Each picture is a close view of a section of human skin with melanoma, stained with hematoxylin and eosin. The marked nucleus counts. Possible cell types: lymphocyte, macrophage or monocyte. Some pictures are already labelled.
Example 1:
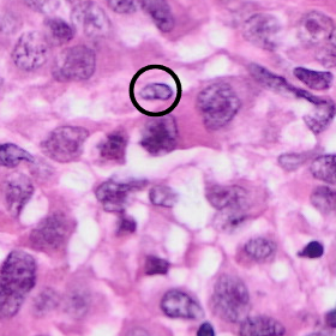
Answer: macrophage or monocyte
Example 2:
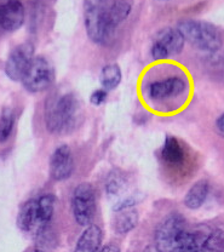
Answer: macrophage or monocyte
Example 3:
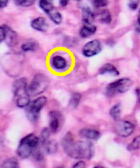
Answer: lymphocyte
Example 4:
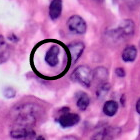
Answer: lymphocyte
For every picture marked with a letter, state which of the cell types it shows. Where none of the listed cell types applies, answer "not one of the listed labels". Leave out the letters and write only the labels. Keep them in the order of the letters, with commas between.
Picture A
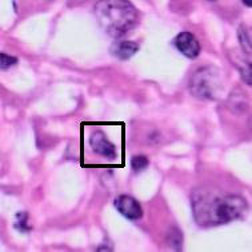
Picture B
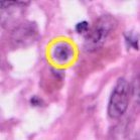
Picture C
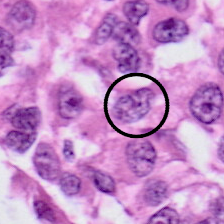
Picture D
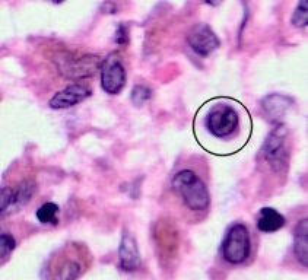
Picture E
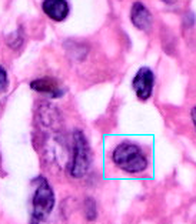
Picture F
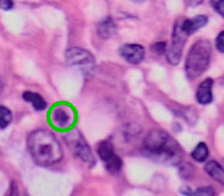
lymphocyte, lymphocyte, not one of the listed labels, macrophage or monocyte, macrophage or monocyte, lymphocyte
